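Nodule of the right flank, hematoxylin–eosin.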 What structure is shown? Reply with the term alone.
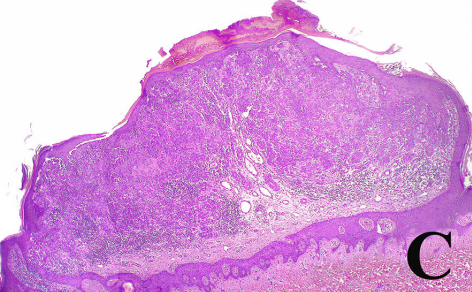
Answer: a superficial crust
